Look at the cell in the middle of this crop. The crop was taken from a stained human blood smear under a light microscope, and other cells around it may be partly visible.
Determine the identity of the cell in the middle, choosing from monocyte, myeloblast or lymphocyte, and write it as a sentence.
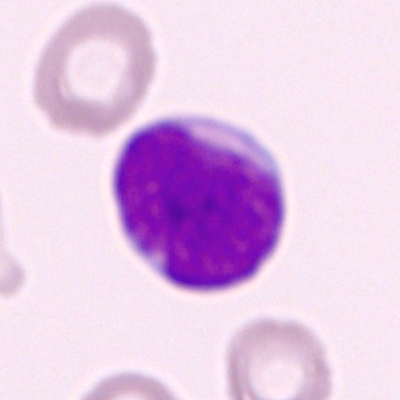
At the center of the crop sits a myeloblast.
